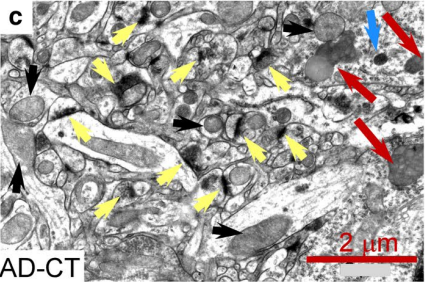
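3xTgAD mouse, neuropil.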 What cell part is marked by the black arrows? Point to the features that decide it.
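Normal mitochondria. Elongated and oval organelles with a double membrane and regular internal cristae.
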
